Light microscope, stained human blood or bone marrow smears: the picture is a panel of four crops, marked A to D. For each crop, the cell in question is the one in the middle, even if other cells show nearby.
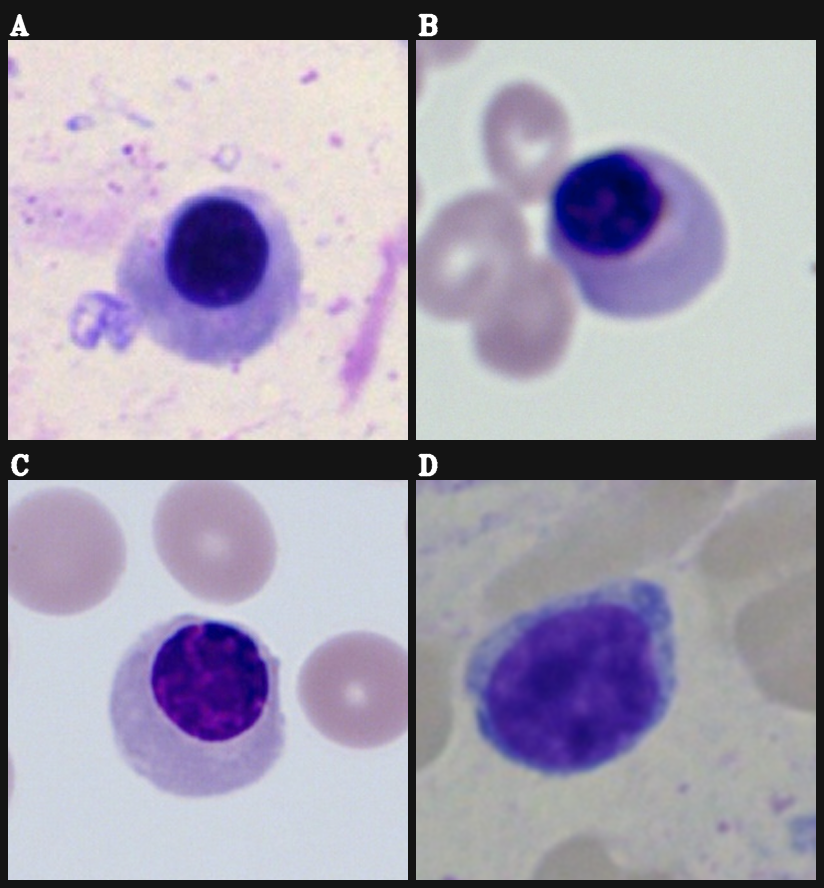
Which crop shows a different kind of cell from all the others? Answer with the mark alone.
D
